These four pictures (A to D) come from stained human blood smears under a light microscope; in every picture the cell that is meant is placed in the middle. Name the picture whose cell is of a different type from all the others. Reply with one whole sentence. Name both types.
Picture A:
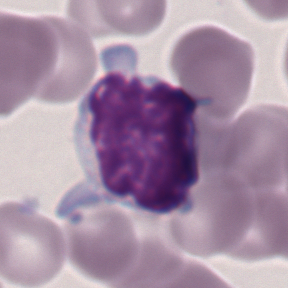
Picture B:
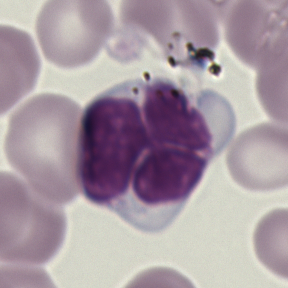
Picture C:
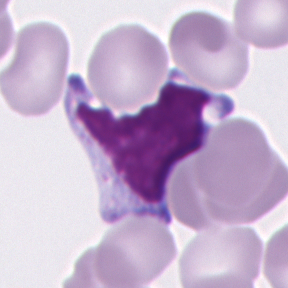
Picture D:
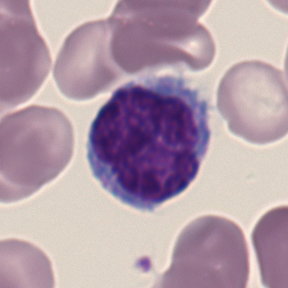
All pictures except D show large granular lymphocytes; picture D shows a monocyte.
